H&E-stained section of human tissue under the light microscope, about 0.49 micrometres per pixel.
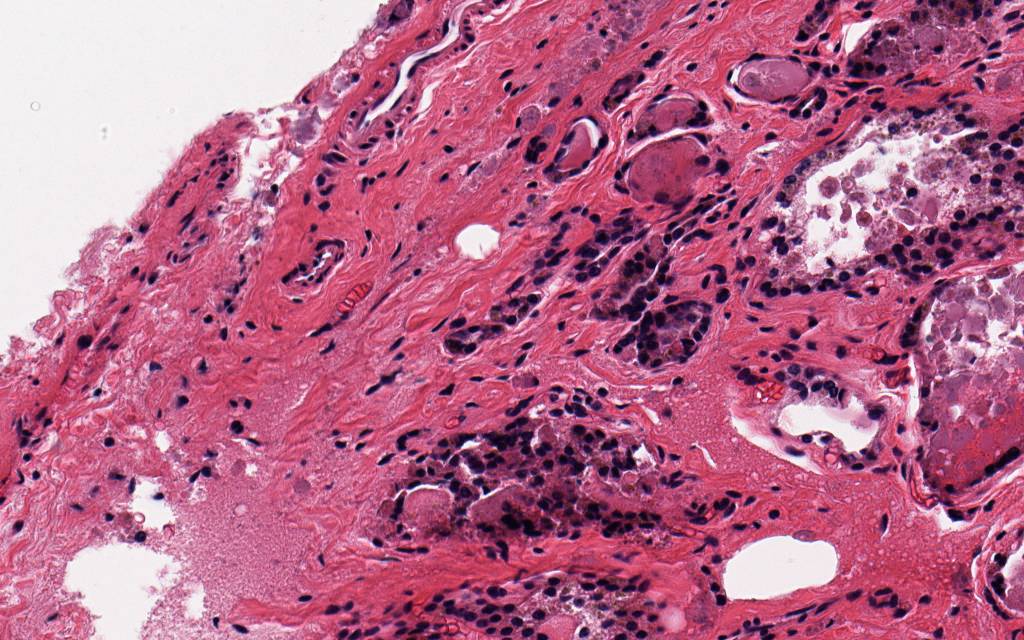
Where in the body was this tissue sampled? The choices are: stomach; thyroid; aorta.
thyroid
